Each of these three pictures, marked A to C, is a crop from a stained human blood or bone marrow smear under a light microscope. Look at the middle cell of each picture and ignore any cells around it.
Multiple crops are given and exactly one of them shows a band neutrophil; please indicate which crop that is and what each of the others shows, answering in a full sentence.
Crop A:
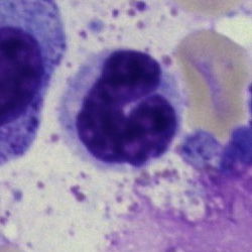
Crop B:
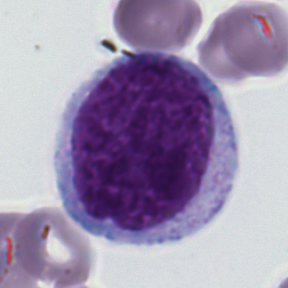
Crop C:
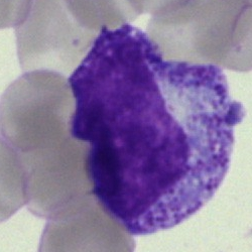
The cell of interest in crop A is a band neutrophil, while crop B is a promyelocyte and crop C is a myelocyte.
